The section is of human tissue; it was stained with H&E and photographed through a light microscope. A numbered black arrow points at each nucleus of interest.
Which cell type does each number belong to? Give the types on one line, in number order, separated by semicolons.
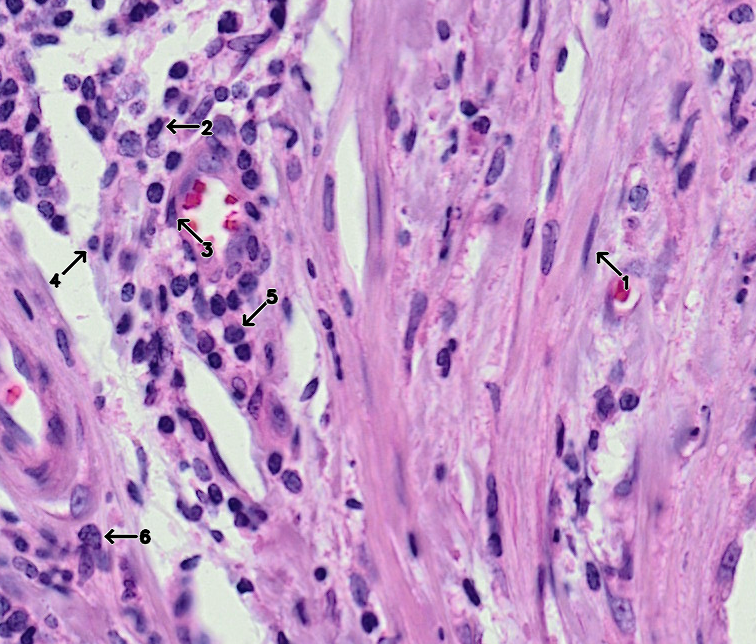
fibroblast; lymphocyte; endothelial cell; lymphocyte; lymphocyte; lymphocyte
